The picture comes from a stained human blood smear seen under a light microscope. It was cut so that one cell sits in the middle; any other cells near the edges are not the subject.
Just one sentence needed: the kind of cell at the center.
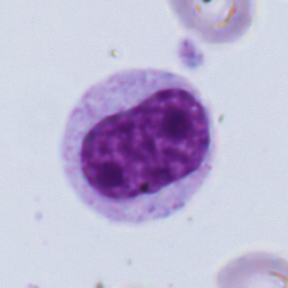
The cell nearest the centre of this crop is a metamyelocyte.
